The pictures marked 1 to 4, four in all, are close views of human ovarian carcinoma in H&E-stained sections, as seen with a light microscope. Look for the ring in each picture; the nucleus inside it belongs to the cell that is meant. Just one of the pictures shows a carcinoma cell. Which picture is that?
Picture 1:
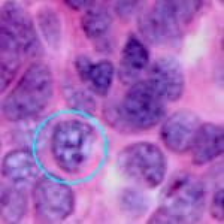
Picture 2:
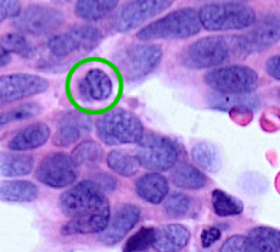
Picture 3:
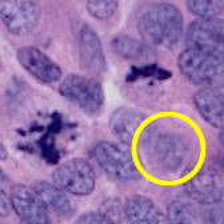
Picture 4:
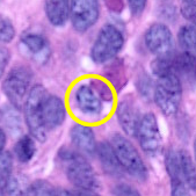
3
